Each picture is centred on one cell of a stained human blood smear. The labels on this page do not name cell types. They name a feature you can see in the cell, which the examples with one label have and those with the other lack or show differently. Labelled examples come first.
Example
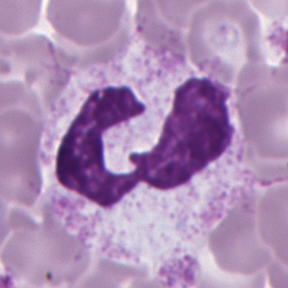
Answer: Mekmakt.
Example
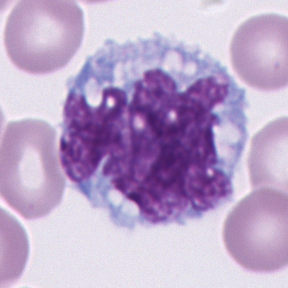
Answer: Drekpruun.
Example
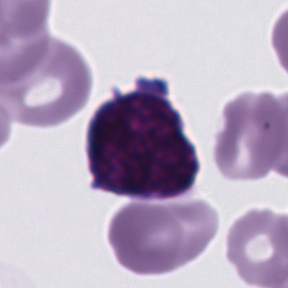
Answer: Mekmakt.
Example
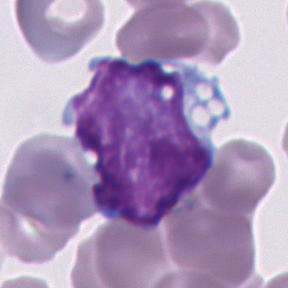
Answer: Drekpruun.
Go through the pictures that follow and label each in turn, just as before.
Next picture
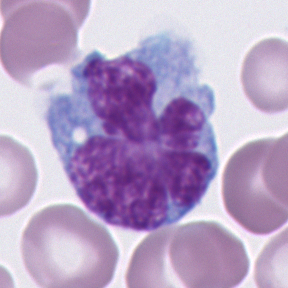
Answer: Drekpruun.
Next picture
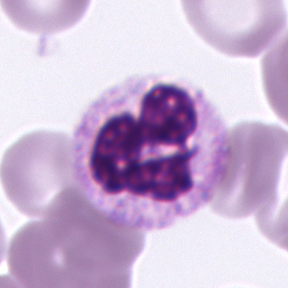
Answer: Mekmakt.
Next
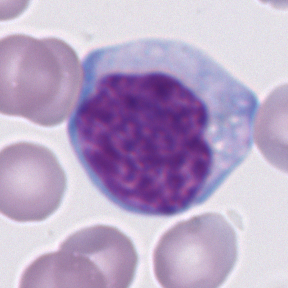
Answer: Drekpruun.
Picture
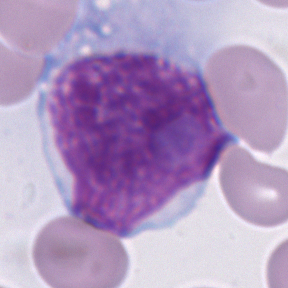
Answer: Drekpruun.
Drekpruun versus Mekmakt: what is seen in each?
Seen in Drekpruun: vacuoles present; seen in Mekmakt: no vacuoles.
